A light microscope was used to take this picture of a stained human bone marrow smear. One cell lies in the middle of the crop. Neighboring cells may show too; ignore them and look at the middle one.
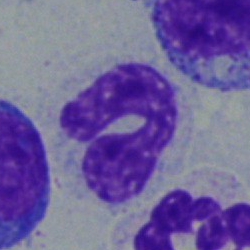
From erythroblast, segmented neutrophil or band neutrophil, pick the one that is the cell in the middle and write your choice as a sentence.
The centered cell in this crop is a band neutrophil.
